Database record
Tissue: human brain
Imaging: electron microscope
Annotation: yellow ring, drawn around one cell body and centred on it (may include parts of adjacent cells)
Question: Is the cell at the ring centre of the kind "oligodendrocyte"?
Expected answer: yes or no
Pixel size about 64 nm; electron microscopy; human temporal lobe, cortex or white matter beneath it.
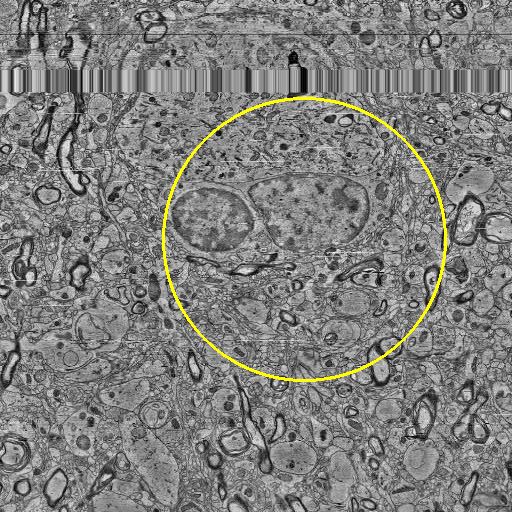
yes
